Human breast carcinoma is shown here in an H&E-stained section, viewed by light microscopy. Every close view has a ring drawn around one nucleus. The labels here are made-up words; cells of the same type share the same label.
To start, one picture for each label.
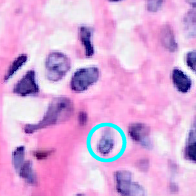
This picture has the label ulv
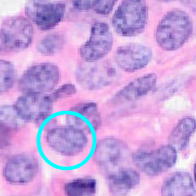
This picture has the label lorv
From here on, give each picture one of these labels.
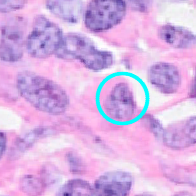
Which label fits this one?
lorv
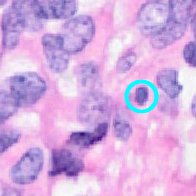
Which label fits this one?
ulv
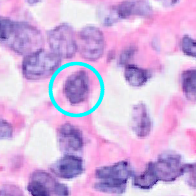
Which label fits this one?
lorv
